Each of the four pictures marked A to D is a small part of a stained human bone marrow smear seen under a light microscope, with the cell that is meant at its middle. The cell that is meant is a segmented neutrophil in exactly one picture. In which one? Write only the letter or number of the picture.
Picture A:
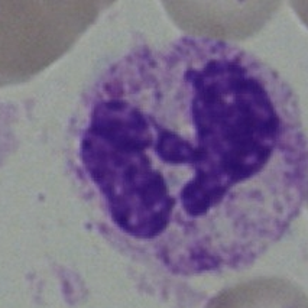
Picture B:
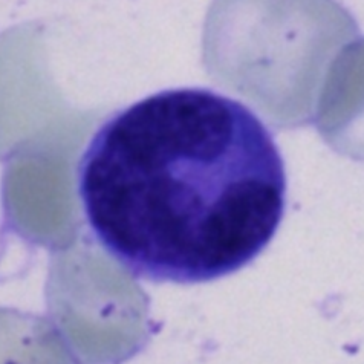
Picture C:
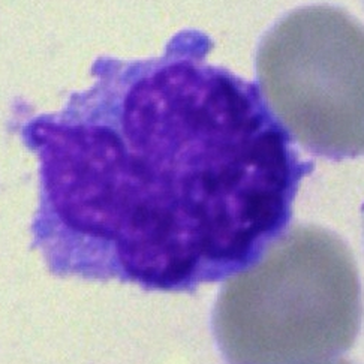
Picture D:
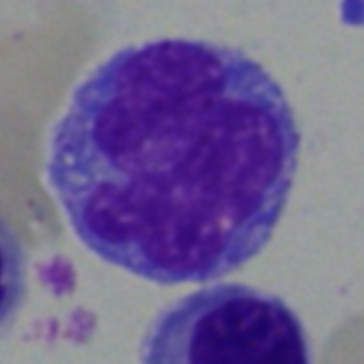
A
